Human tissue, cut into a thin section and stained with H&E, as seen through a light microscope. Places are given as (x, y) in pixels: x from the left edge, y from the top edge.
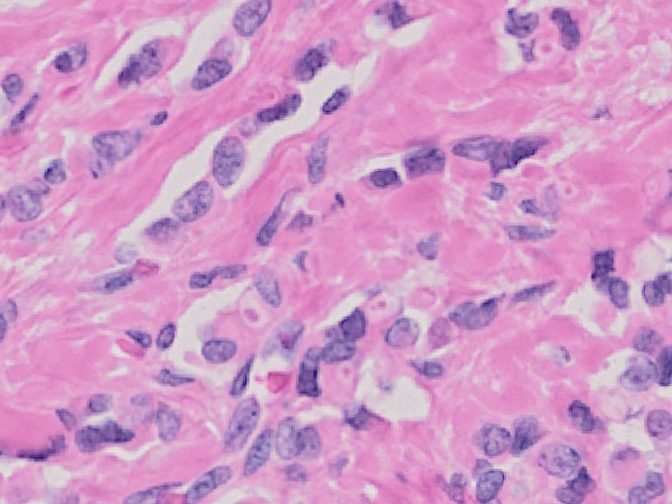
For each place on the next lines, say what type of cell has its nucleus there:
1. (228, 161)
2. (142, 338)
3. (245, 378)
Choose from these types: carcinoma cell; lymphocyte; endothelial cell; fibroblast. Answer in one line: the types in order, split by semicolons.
carcinoma cell; endothelial cell; endothelial cell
